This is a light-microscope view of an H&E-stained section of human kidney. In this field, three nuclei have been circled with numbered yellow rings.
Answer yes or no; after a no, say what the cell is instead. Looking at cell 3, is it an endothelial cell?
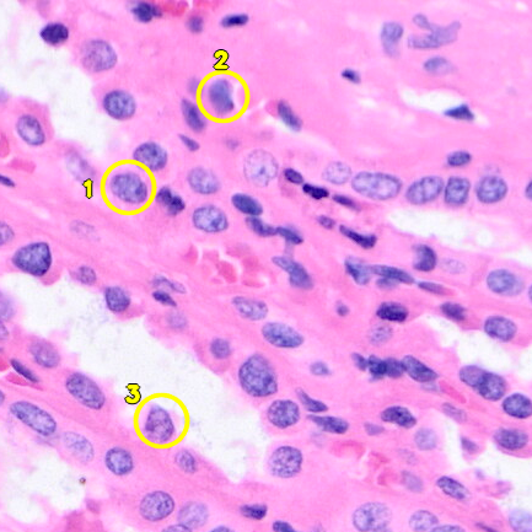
No, it is a loop of Henle or distal tubule cell.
